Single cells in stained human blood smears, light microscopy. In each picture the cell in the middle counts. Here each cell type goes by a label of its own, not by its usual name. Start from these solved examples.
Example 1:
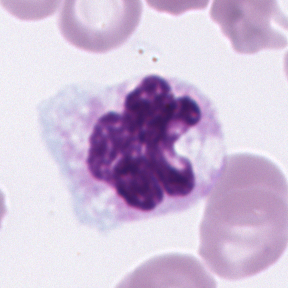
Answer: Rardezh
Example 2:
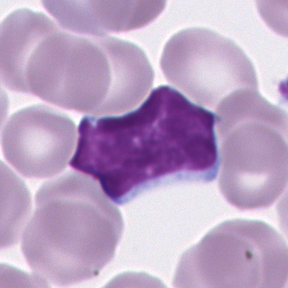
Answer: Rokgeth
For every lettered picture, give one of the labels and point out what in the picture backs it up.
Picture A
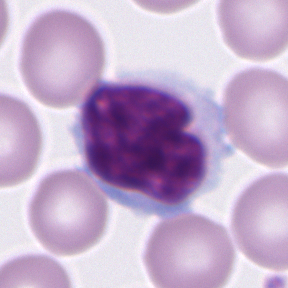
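Rokgeth. Evidence: The cytoplasm is a narrow pale blue rim around the nucleus.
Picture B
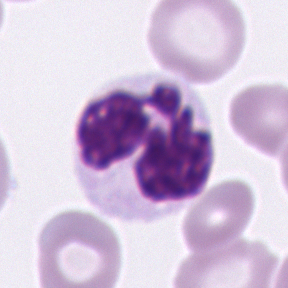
Rardezh. Evidence: The nucleus forms two large lobes joined by a narrow strand near the top.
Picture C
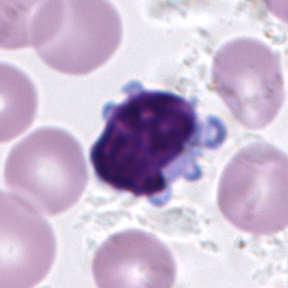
Rokgeth. Evidence: The cytoplasm is a scant rim, widest on the right side of the cell.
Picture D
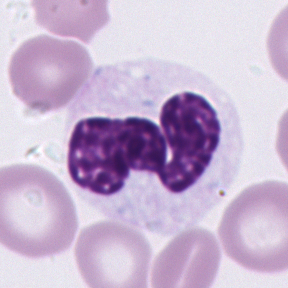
Rardezh. Evidence: The cytoplasm is plentiful and pale pinkish-lilac.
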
